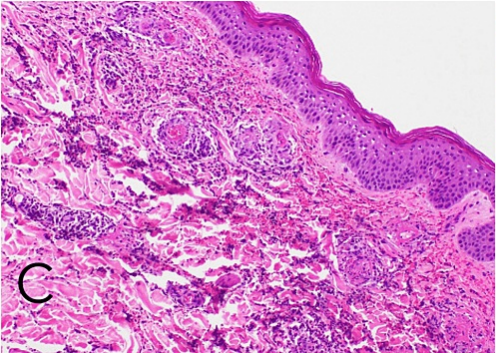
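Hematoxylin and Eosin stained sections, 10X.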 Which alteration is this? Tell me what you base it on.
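Superficial to deep dermal perivascular infiltrate. Dense clusters of dark-nucleated inflammatory cells sit around vessels in the dermis. The clusters extend from just beneath the epidermis into the deeper dermis. The overlying epidermis is intact.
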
